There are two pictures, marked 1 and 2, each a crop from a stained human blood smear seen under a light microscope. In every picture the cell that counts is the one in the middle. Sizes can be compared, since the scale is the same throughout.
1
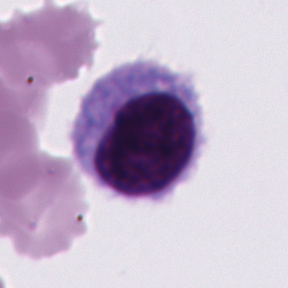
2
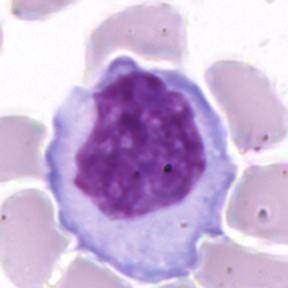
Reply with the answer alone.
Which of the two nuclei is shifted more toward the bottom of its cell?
1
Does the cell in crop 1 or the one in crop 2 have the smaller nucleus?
1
